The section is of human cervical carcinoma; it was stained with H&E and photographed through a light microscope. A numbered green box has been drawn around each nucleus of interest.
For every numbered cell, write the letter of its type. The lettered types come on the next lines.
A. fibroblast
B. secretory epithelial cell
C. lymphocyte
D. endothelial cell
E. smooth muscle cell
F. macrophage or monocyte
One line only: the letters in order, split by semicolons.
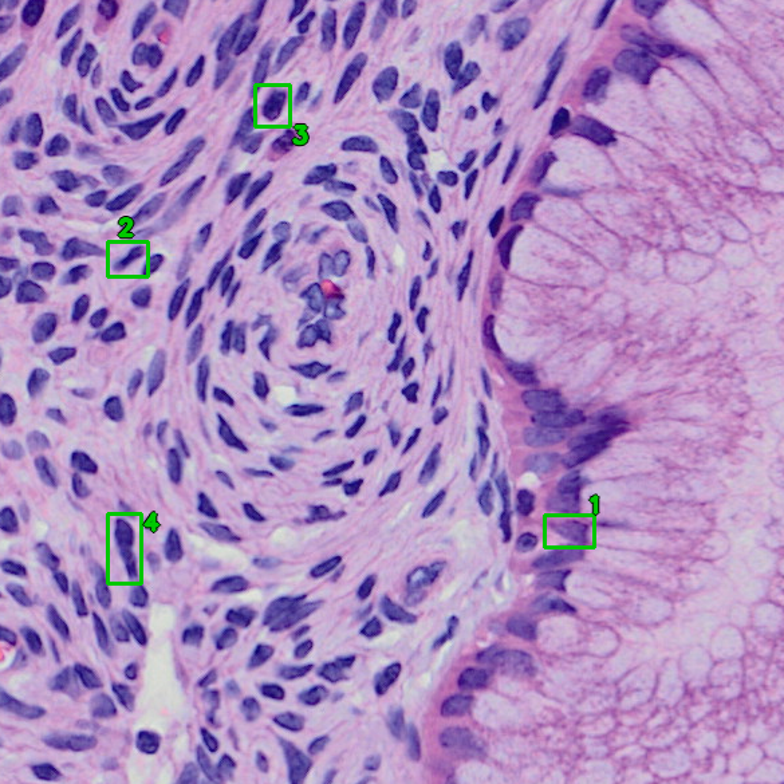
B; A; C; A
